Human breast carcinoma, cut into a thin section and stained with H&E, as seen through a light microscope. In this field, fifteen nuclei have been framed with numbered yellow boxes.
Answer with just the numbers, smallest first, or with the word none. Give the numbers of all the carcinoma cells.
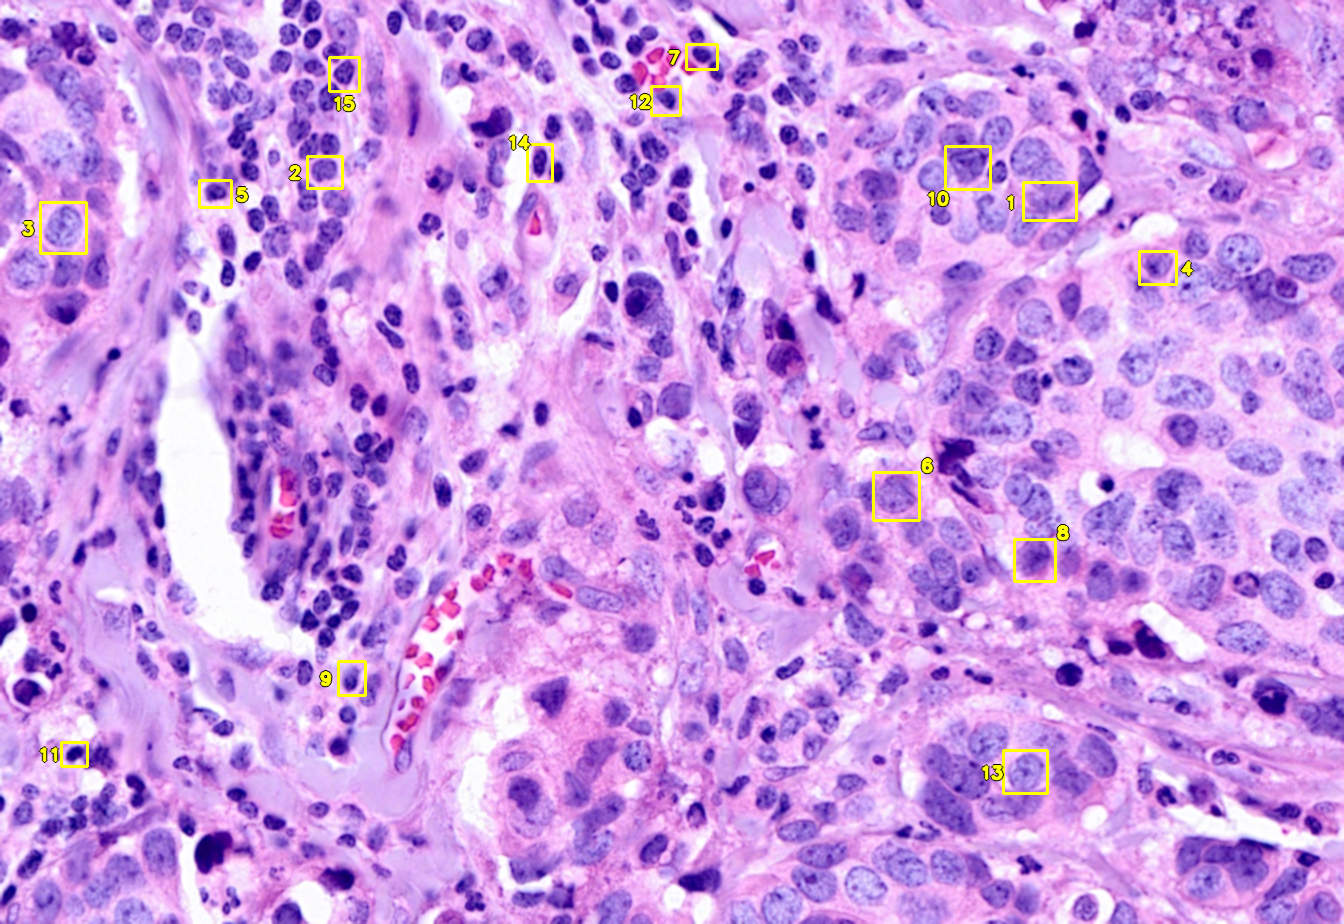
1, 3, 4, 6, 8, 10, 13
